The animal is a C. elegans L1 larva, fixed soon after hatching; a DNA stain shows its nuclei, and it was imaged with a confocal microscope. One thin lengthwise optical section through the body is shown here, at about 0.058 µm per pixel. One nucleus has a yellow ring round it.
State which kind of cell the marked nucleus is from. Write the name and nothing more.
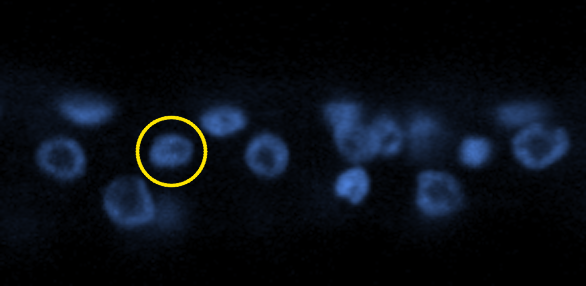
P cell (ventral epidermal blast cell)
